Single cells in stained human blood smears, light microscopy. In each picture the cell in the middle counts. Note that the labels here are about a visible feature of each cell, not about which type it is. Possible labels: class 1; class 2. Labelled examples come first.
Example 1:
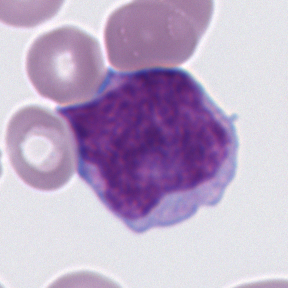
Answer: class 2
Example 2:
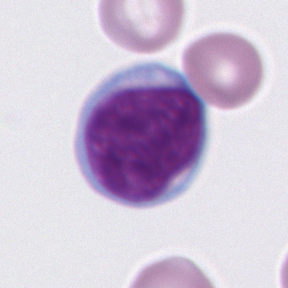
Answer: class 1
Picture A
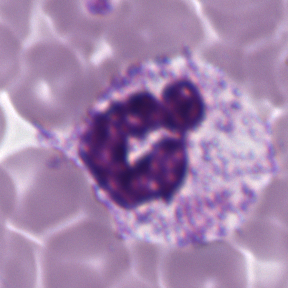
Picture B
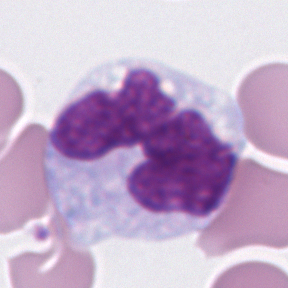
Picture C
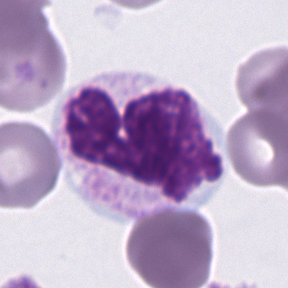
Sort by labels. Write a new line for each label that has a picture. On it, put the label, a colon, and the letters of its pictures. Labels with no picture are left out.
class 1: B, C
class 2: A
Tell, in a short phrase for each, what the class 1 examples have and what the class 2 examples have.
class 1: smooth outline; class 2: ragged outline or projections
